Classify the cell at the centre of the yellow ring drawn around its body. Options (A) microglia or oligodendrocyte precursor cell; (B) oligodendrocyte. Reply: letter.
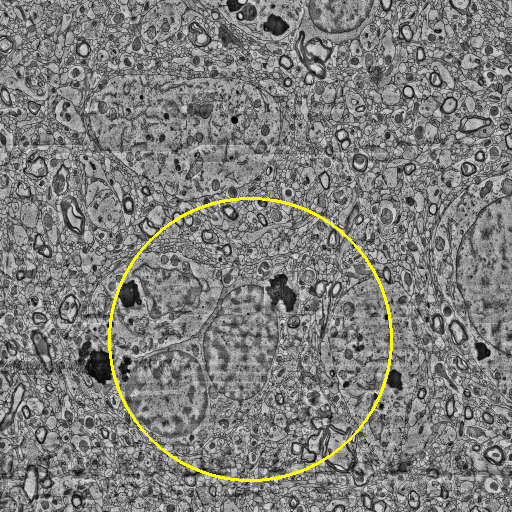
B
